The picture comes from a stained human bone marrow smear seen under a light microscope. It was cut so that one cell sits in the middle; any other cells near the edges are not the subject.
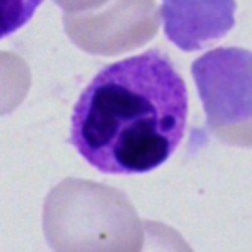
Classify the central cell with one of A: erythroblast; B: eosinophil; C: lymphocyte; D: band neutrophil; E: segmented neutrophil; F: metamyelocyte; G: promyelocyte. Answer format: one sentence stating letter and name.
That cell in the center is a segmented neutrophil, hence option E.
